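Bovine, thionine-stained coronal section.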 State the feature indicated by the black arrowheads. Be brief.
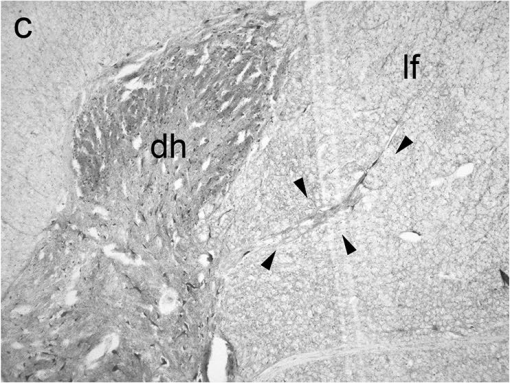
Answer: Lateral cervical nucleus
